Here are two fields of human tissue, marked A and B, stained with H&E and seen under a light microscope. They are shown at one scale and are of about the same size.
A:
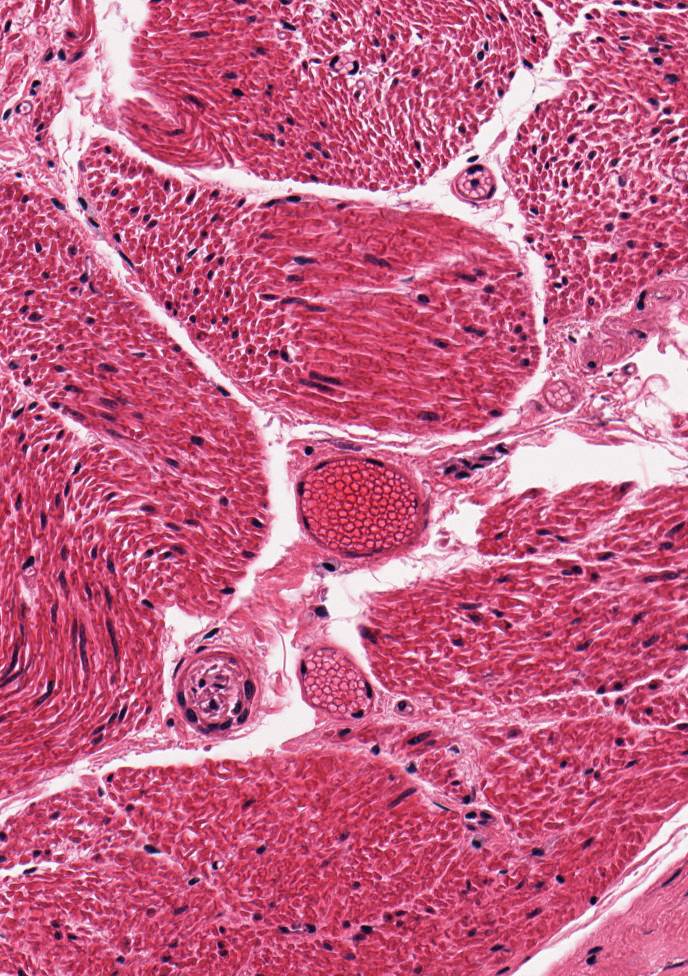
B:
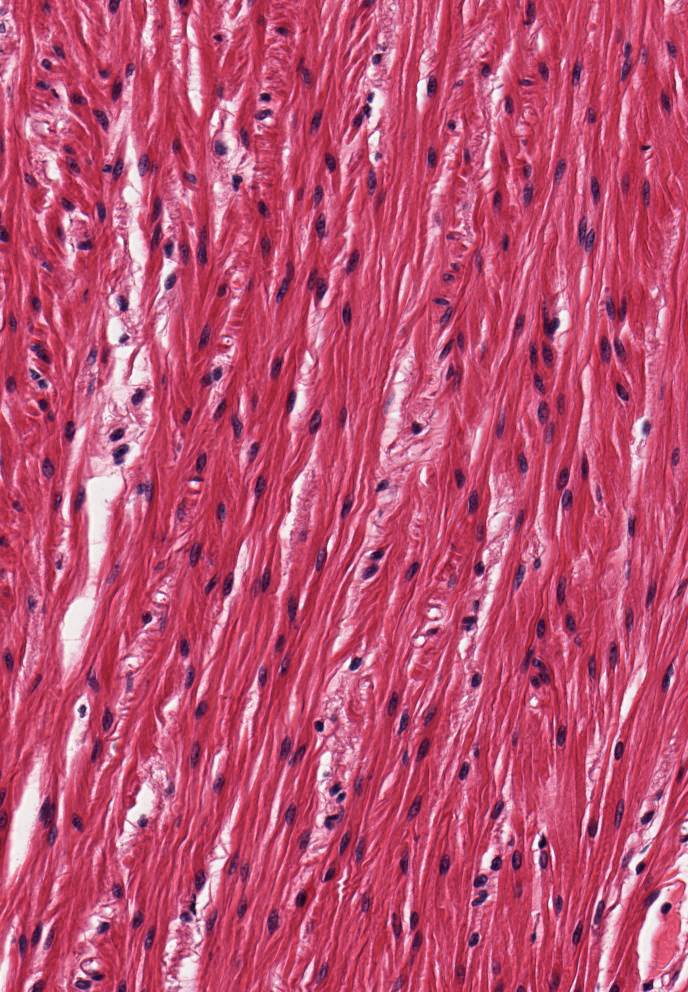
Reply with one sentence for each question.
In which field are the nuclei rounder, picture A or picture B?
It is picture A whose nuclei are the rounder.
